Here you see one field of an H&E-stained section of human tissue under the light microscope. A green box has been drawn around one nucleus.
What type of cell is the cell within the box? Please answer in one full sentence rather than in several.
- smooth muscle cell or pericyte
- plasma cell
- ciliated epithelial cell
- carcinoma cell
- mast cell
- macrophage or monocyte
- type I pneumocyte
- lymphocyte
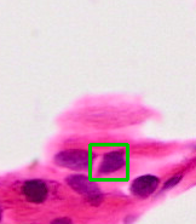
In this section of tissue, the cell within the box is a type I pneumocyte.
